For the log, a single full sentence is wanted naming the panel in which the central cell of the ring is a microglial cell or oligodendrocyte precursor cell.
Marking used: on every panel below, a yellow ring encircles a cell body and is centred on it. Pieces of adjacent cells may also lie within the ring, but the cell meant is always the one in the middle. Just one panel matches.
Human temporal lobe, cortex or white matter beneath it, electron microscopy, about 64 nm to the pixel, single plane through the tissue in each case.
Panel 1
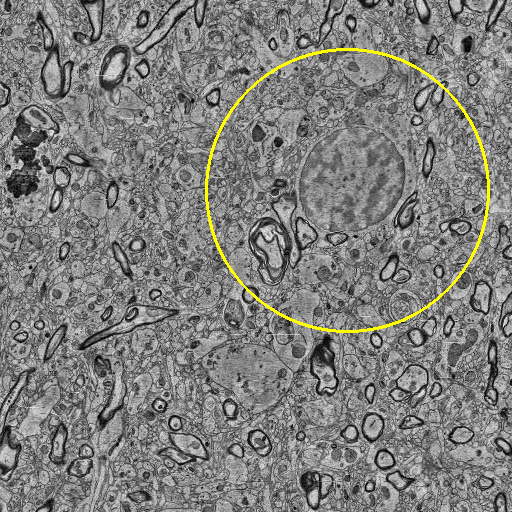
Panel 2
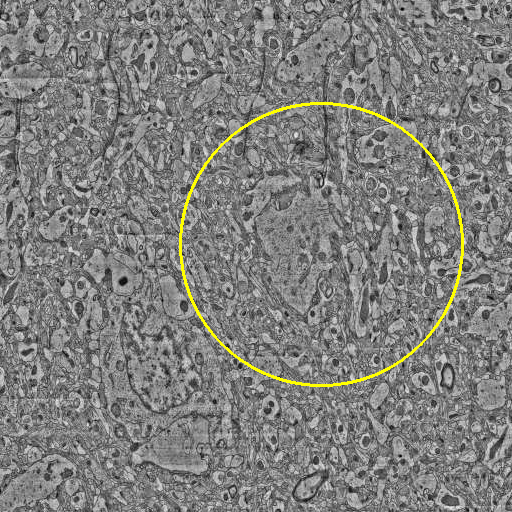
The cell in the middle of the ring in panel 2 is the one asked for.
